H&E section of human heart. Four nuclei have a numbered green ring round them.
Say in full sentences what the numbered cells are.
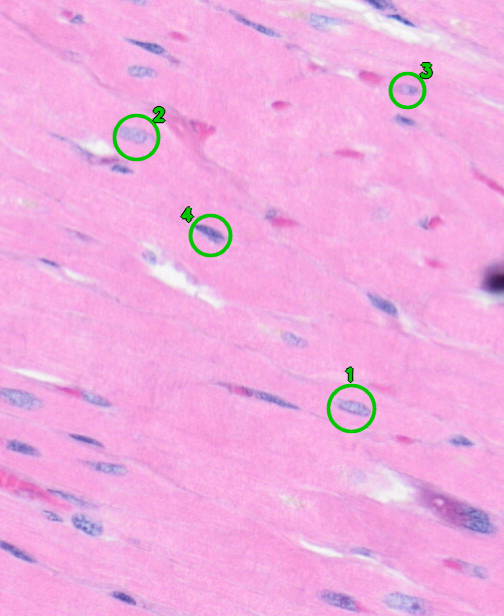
Cells 1, 2 and 3 are cardiomyocytes. Cell 4 is an endothelial cell.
